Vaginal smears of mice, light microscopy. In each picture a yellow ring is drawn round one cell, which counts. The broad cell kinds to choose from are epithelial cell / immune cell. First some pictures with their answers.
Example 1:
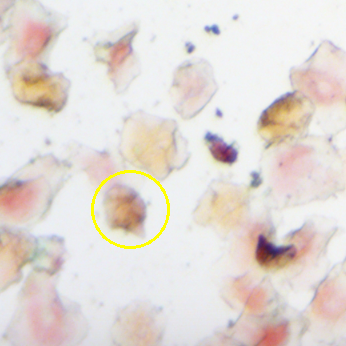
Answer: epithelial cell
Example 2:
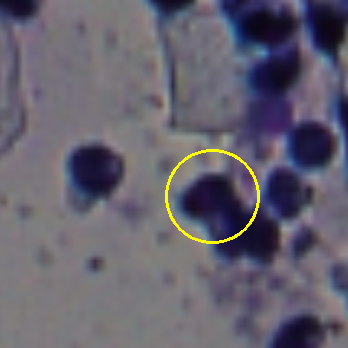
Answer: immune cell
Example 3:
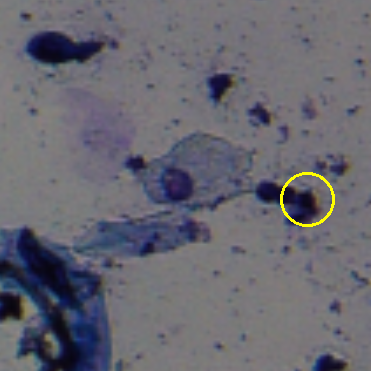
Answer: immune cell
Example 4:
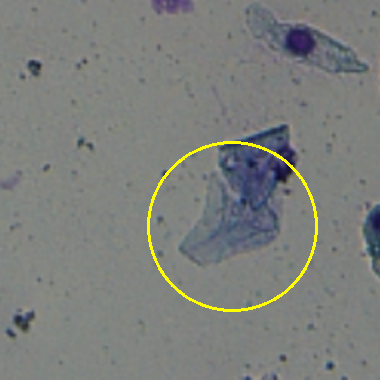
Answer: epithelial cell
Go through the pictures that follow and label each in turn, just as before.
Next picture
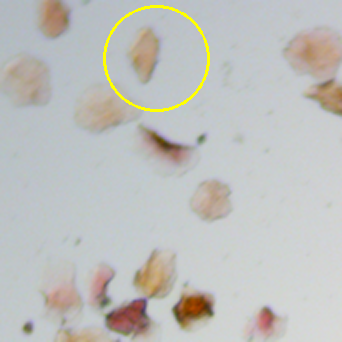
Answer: epithelial cell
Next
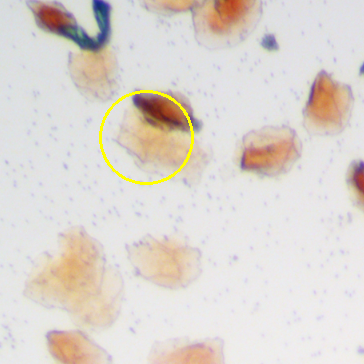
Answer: epithelial cell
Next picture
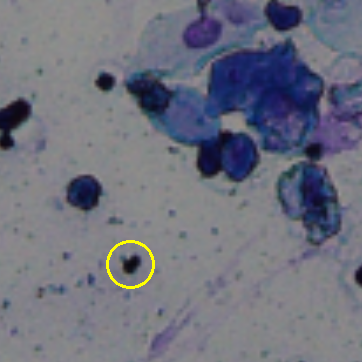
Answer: immune cell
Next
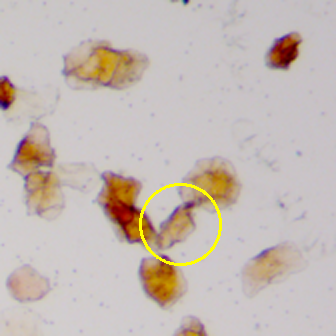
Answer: epithelial cell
